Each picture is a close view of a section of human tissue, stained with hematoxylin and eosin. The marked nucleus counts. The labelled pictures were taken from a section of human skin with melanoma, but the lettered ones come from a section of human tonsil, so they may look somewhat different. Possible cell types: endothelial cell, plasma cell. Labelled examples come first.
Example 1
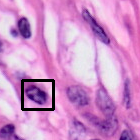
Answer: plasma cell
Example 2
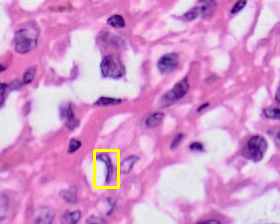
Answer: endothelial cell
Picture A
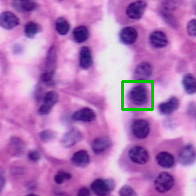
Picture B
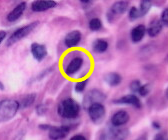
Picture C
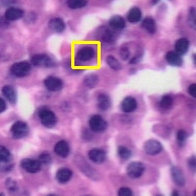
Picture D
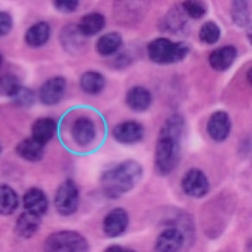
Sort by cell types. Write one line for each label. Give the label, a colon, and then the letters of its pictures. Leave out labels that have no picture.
plasma cell: A, B, C, D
